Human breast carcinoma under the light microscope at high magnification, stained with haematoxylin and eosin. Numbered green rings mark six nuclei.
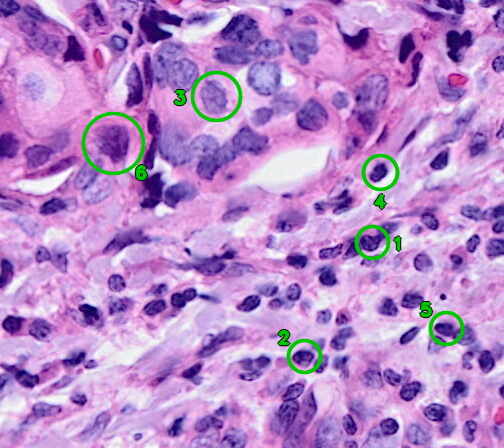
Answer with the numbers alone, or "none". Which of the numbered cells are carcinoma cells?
3, 6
